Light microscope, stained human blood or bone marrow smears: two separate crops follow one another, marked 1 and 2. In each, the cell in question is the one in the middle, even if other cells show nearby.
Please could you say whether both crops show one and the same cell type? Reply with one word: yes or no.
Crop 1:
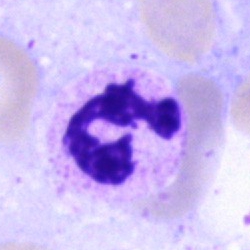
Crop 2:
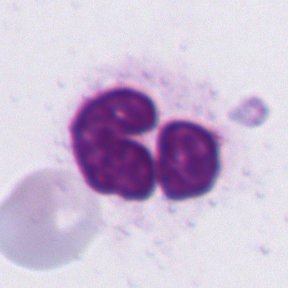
yes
